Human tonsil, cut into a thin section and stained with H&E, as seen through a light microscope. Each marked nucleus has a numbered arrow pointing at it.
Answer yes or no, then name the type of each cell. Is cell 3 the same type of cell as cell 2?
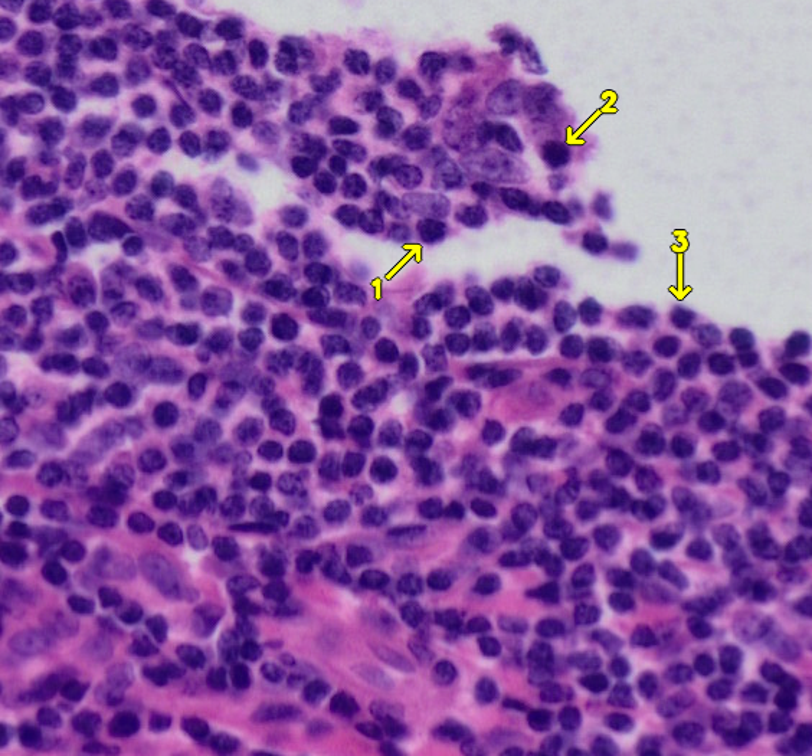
No, sorry, cell 3 is a small lymphocyte and cell 2 is a proliferating B cell.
